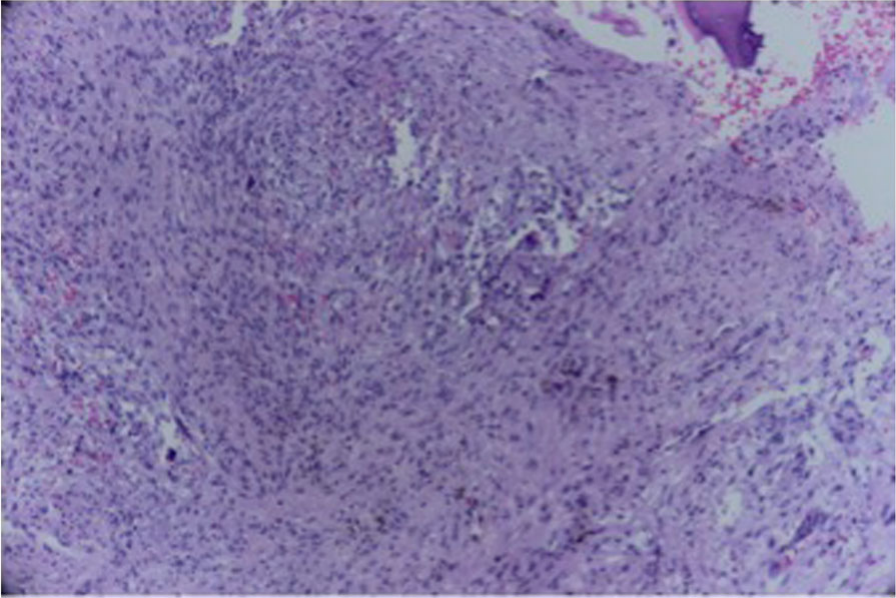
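Section of dense, highly cellular connective tissue made up of oval to spindle-shaped cells with purple nuclei. The cells run in streaming, intersecting bundles set in a pale pink fibrillar matrix. Scattered red blood cells and small thin-walled vascular spaces lie among the cells, with more extravasated blood at the upper right. A few larger, darker purple cell clusters are scattered in the stroma. A fragment of deeply stained hard tissue lies at the upper right edge.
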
